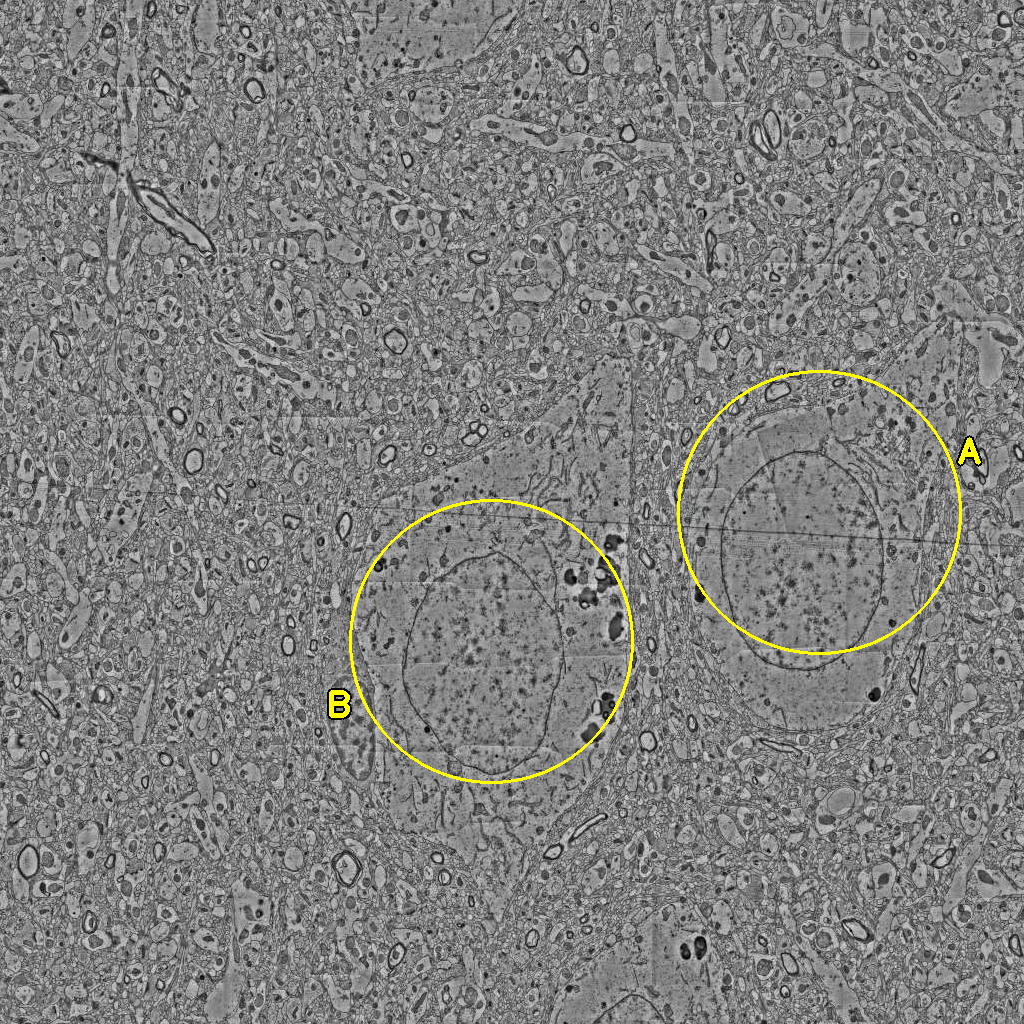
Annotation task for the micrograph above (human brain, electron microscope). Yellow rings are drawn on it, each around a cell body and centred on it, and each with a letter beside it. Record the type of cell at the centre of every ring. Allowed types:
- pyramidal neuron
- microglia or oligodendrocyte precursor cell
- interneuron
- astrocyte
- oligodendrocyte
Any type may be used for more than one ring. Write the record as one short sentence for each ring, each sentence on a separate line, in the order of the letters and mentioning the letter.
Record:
The cell centred in ring A is a pyramidal neuron.
The cell centred in ring B is a pyramidal neuron.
